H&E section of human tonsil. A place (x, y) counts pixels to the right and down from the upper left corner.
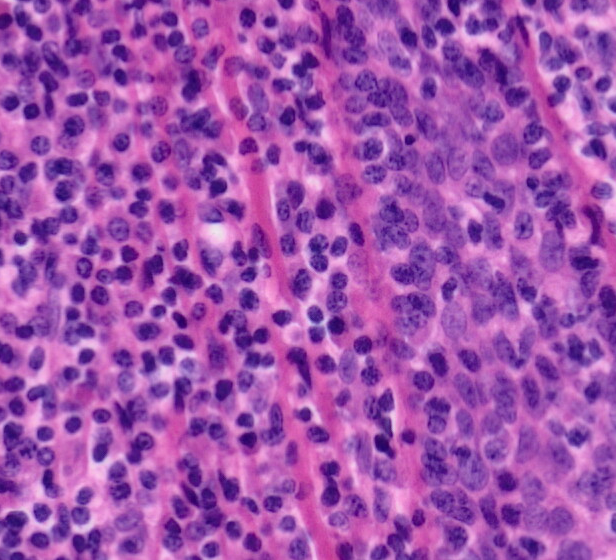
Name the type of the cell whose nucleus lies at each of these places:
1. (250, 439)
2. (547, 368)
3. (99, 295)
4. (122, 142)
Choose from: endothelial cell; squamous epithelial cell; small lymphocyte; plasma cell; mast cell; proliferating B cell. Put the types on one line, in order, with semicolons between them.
plasma cell; squamous epithelial cell; plasma cell; plasma cell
